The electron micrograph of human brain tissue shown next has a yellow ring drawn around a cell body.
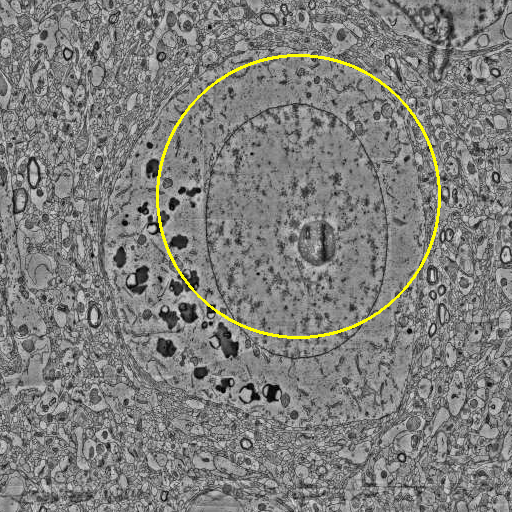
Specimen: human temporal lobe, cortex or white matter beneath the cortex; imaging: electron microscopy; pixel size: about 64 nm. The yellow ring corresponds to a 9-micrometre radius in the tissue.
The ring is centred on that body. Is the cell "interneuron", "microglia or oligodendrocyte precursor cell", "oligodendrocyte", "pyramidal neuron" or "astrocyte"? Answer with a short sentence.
The cell in question is a pyramidal neuron.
